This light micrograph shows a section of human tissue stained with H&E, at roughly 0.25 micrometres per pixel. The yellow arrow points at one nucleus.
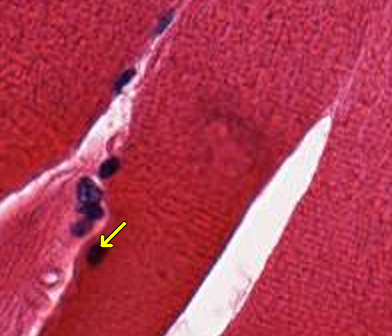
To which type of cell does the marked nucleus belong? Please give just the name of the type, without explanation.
skeletal muscle fibre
